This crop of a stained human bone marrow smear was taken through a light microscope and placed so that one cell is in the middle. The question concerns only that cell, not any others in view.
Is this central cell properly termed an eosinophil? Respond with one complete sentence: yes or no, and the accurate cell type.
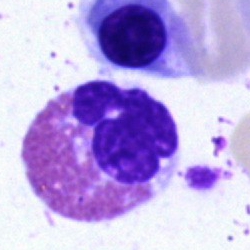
Yes, an eosinophil is the cell positioned in the middle of the field.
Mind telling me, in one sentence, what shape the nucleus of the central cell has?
The nucleus is divided into two or more distinct lobes.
